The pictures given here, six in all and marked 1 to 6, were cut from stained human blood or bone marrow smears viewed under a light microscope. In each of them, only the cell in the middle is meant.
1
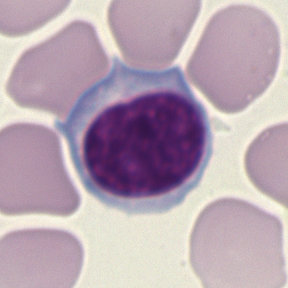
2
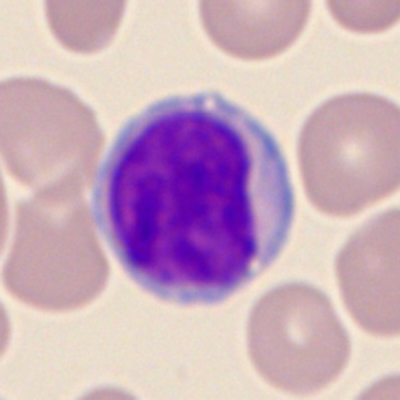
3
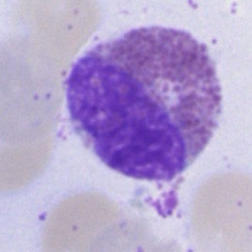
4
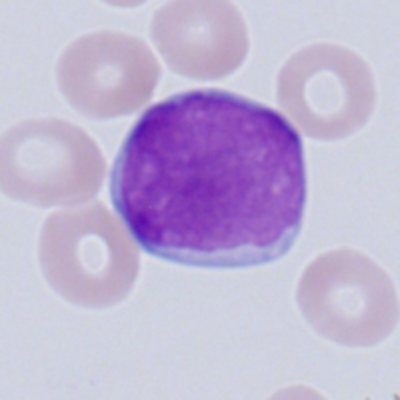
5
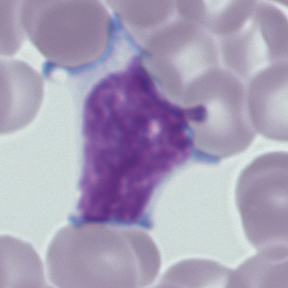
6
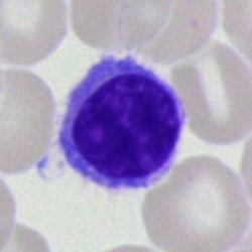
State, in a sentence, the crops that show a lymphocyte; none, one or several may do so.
Within this set, crops 1, 2, 5 and 6 show lymphocytes.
